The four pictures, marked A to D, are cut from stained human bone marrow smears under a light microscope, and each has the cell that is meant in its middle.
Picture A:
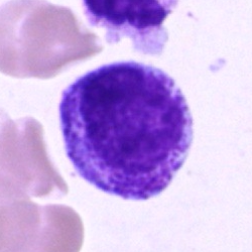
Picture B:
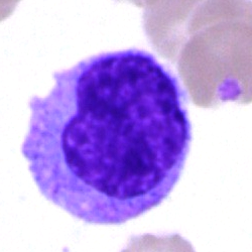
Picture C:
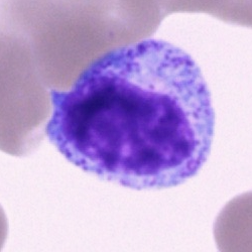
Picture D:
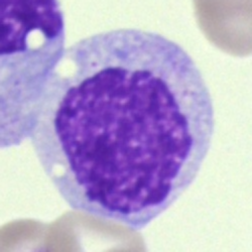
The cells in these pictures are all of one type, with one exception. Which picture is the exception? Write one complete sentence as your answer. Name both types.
Picture B is the odd one out: it shows a monocyte, while the others show myelocytes.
